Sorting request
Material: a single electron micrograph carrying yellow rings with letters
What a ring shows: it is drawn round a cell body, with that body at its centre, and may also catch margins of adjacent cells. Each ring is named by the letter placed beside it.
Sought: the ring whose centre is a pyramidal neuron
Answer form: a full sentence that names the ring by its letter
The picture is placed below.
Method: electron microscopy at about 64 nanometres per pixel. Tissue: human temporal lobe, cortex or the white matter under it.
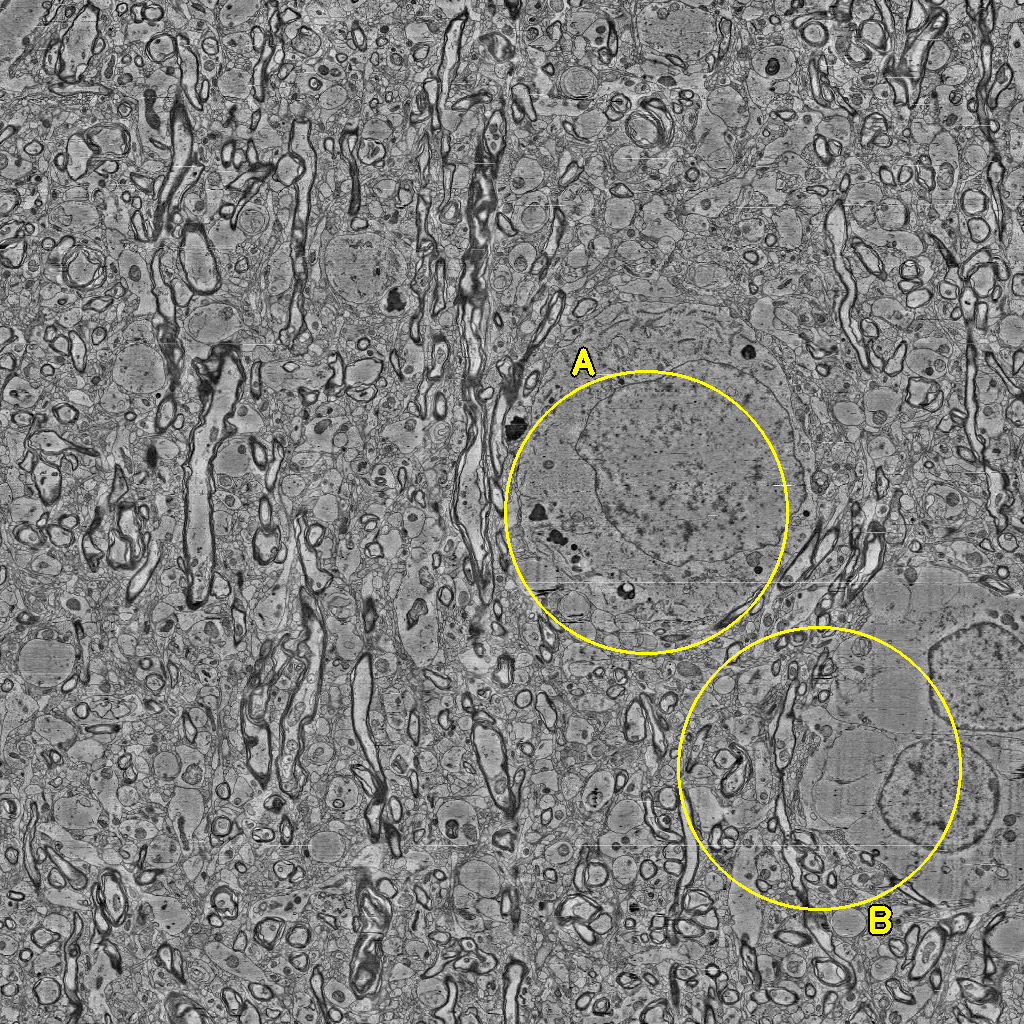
The ring centred on the cell asked for carries the letter A.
